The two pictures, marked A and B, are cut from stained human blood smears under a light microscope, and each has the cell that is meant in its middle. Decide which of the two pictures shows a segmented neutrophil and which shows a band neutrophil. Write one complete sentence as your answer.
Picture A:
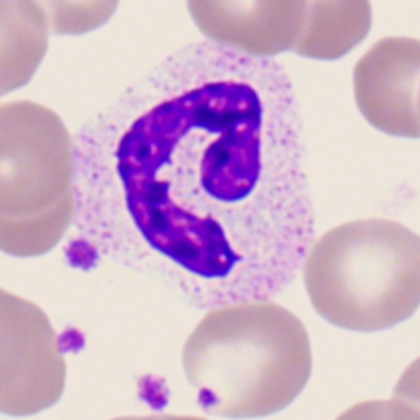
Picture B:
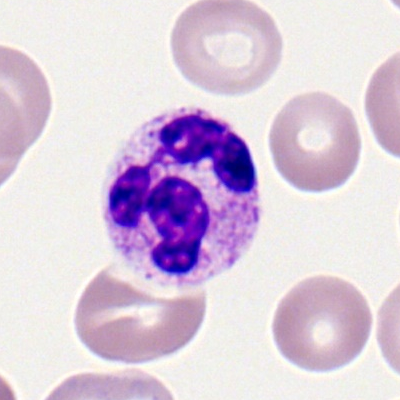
Picture B shows a segmented neutrophil, while picture A shows a band neutrophil.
